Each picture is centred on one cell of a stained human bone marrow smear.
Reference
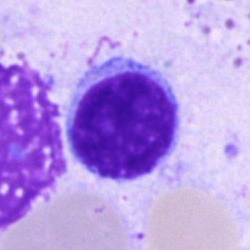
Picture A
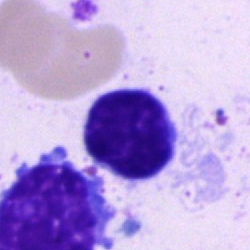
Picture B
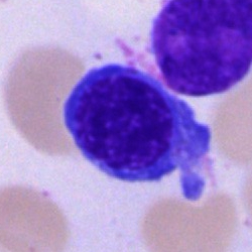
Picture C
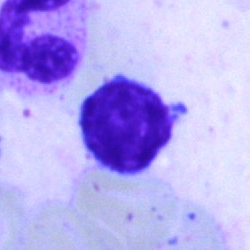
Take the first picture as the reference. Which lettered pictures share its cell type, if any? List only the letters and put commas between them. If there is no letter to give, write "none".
A, C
